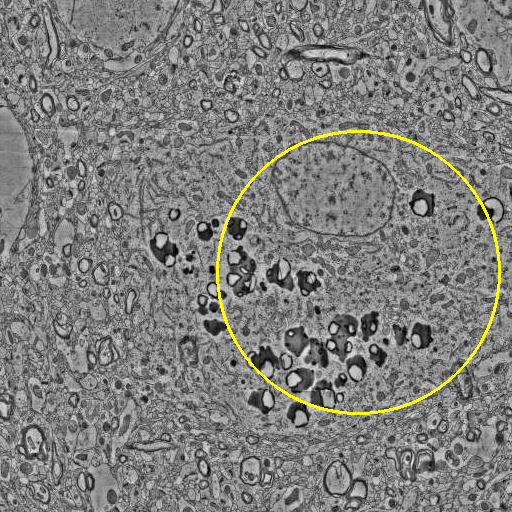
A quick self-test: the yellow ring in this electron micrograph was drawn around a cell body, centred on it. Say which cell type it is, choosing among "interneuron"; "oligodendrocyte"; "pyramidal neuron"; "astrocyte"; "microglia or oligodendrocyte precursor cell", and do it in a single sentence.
The yellow-ringed cell is a pyramidal neuron.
